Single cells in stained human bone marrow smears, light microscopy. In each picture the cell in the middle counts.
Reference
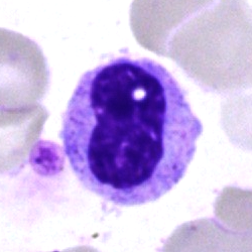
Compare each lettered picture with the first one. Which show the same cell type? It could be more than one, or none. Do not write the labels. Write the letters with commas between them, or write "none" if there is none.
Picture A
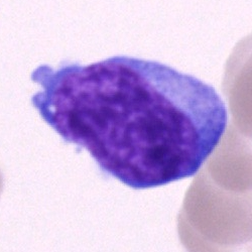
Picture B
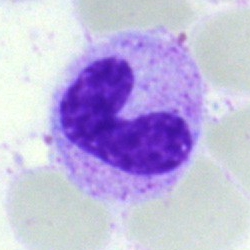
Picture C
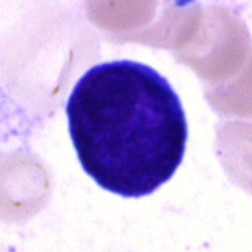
B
